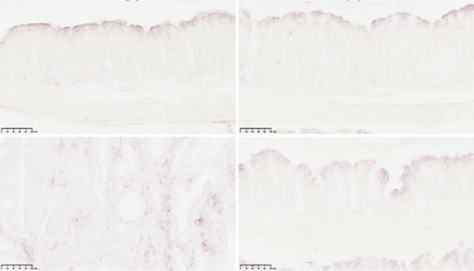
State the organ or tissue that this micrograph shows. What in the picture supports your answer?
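The top images show a mucosa of closely packed parallel crypts resting on a thin muscle layer. The mucosal surface is flat, without villi.
Colon.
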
